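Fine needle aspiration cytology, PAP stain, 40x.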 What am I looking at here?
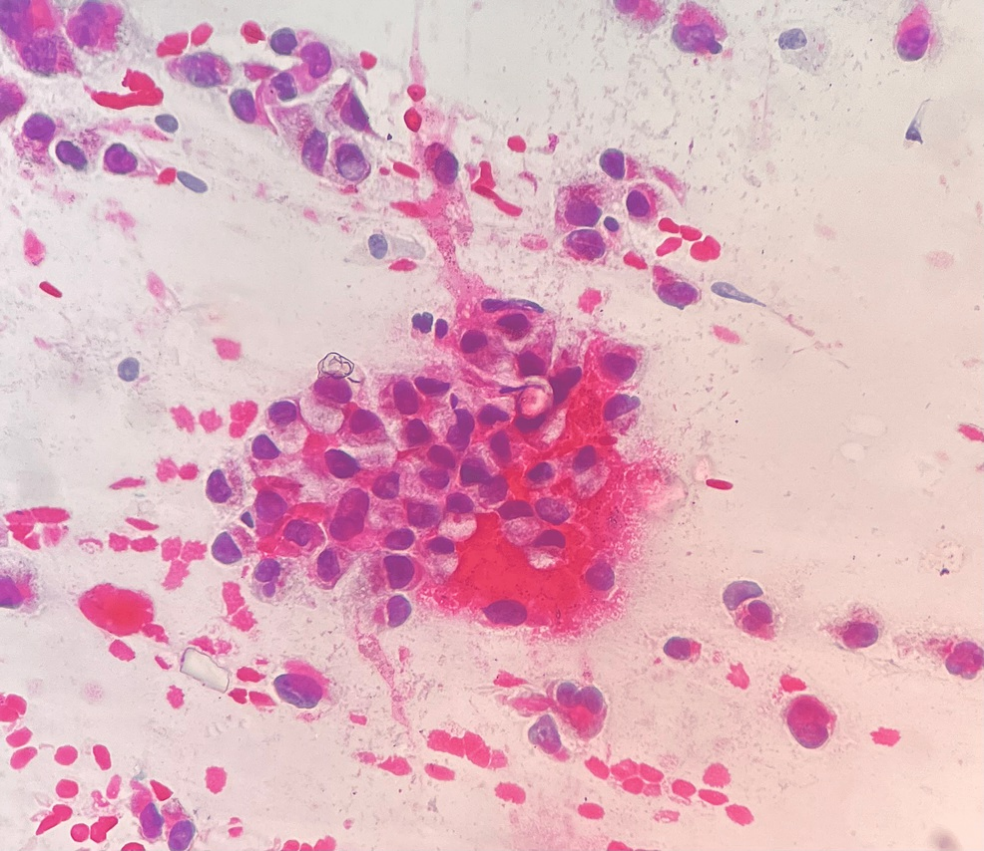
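In the central group, look at how many cells carry a round to oval, dark purple nucleus crowded against one side, while the rest of the cell is taken up by pale, clear, rather vacuolated cytoplasm, giving the ring-like look. The cells overlap but do not form a tight sheet; at the edges they fall apart. Bright pink-red red blood cells and pinkish background material lie between and around the cells.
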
